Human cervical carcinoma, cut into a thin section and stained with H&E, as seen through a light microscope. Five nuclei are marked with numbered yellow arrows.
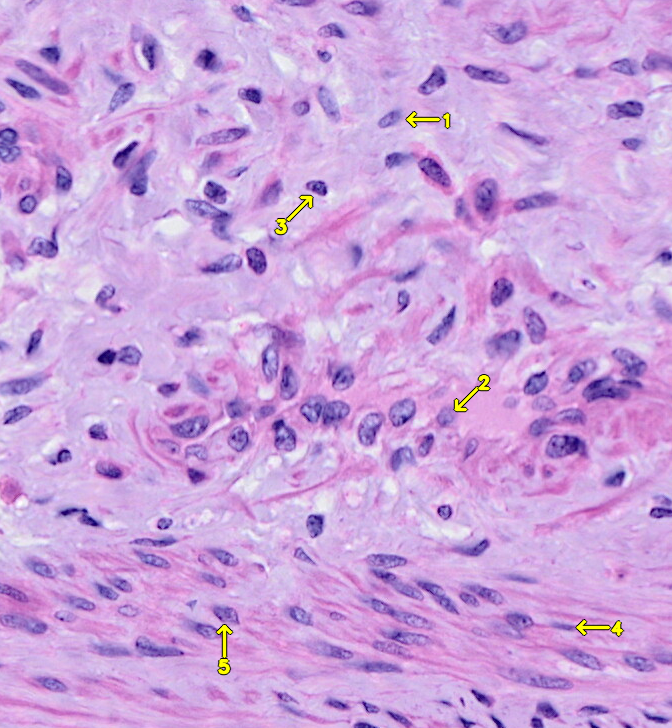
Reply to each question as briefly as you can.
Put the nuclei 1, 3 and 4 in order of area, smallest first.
4, 3, 1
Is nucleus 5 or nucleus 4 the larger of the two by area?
5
